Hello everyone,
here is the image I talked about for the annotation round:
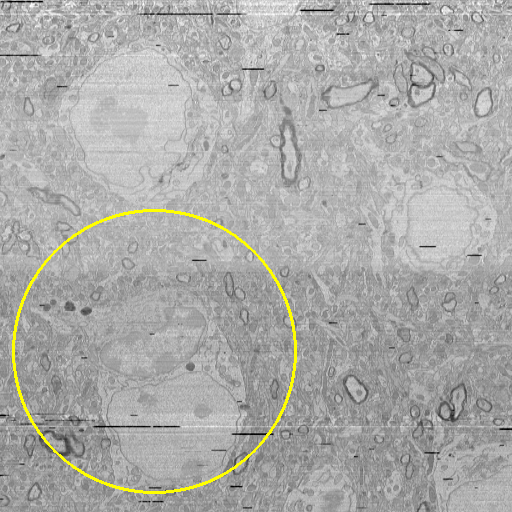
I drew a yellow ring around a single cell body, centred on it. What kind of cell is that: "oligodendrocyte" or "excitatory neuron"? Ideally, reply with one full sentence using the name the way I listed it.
The cell your yellow ring is centred on is an oligodendrocyte, going by your list.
